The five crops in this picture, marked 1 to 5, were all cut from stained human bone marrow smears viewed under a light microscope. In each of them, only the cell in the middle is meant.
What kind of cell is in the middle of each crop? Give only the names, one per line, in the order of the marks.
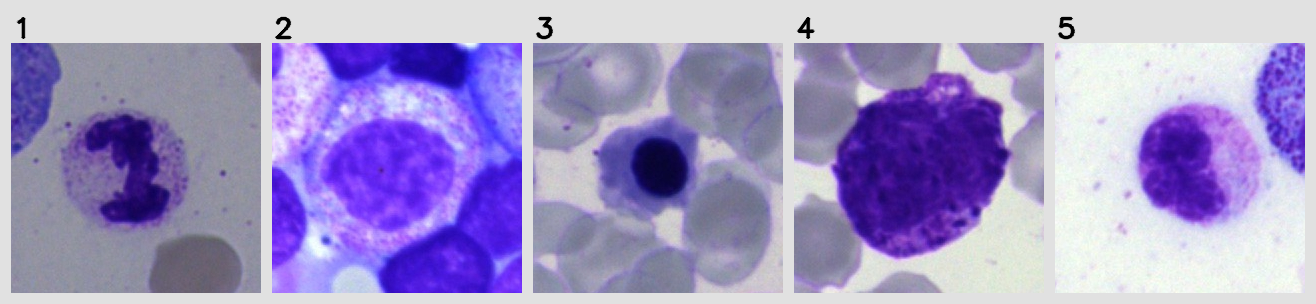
segmented neutrophil
myelocyte
erythroblast
basophil
basophil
